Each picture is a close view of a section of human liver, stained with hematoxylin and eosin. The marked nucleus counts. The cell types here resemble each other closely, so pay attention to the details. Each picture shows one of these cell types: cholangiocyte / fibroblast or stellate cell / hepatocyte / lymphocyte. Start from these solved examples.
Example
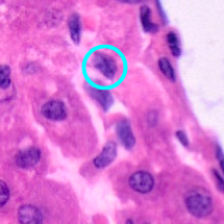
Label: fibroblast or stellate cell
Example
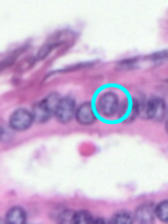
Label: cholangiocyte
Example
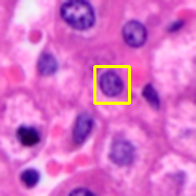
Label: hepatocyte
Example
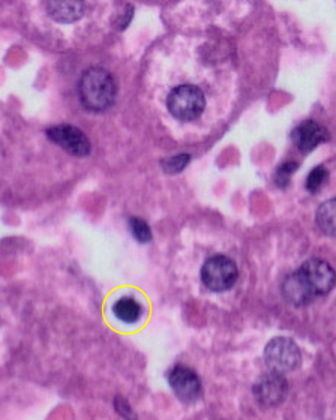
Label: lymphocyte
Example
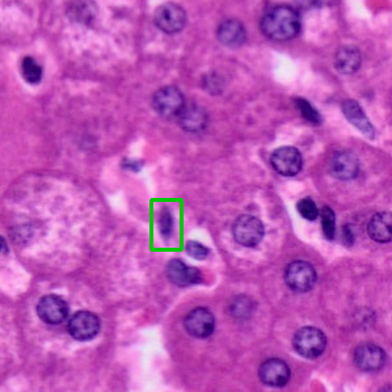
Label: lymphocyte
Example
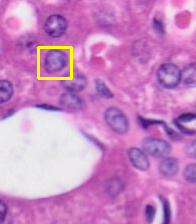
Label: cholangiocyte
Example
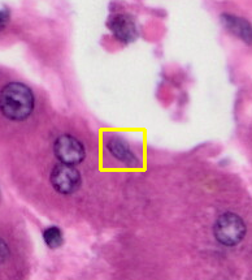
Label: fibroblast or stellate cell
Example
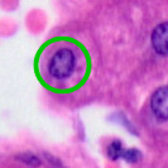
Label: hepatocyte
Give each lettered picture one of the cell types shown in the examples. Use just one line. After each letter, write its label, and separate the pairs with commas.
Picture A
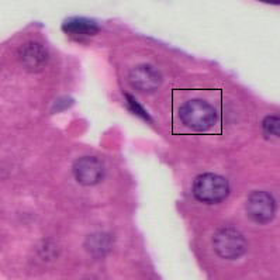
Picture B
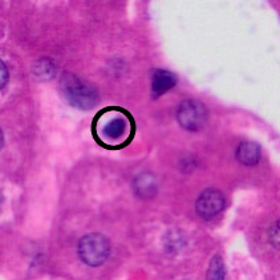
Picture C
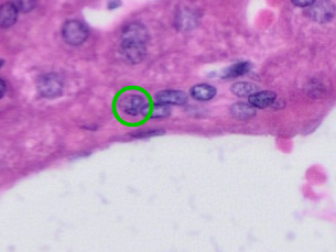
A hepatocyte, B lymphocyte, C cholangiocyte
